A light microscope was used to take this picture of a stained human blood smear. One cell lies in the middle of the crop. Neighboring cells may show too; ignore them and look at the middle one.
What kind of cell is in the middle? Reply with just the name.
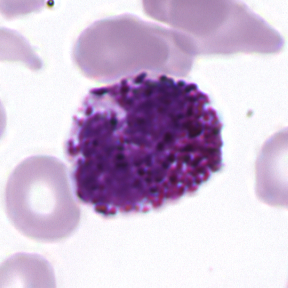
basophil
